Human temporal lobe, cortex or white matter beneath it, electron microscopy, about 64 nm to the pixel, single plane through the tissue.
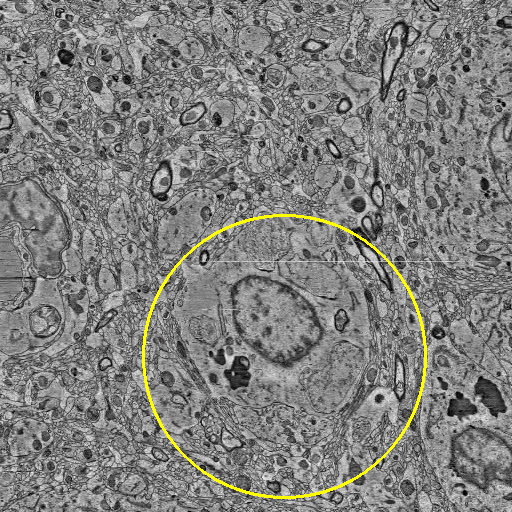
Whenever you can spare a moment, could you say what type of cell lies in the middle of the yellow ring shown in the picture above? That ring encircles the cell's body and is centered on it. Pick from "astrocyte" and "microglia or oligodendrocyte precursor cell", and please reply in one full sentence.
The cell whose body sits at the middle of the yellow ring is an astrocyte.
